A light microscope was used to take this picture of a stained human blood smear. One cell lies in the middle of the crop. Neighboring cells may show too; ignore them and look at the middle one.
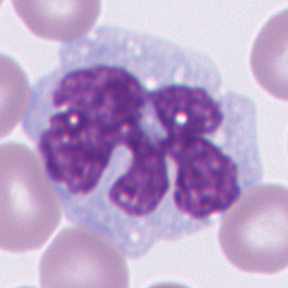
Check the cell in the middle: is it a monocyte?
yes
